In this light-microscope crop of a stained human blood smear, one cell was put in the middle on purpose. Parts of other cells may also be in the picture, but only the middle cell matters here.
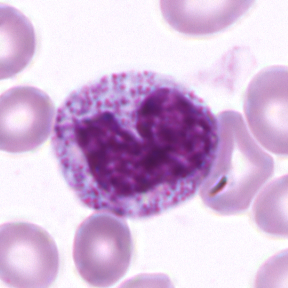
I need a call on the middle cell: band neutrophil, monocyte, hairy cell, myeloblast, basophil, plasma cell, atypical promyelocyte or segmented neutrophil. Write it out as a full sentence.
Classification of the middle cell gives a band neutrophil.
